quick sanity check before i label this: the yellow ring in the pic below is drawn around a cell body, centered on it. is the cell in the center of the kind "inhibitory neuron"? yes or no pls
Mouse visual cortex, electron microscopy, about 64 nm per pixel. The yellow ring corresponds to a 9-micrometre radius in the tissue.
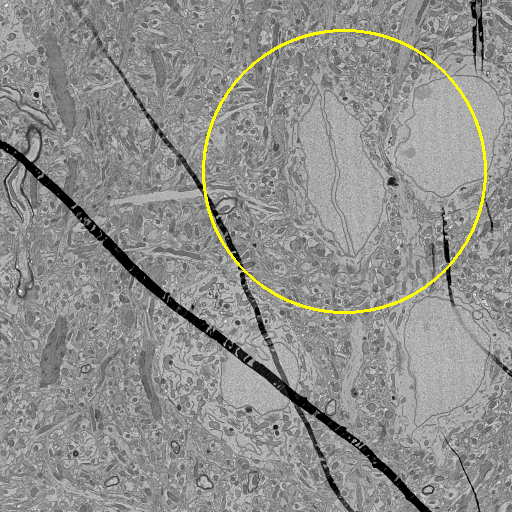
yes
